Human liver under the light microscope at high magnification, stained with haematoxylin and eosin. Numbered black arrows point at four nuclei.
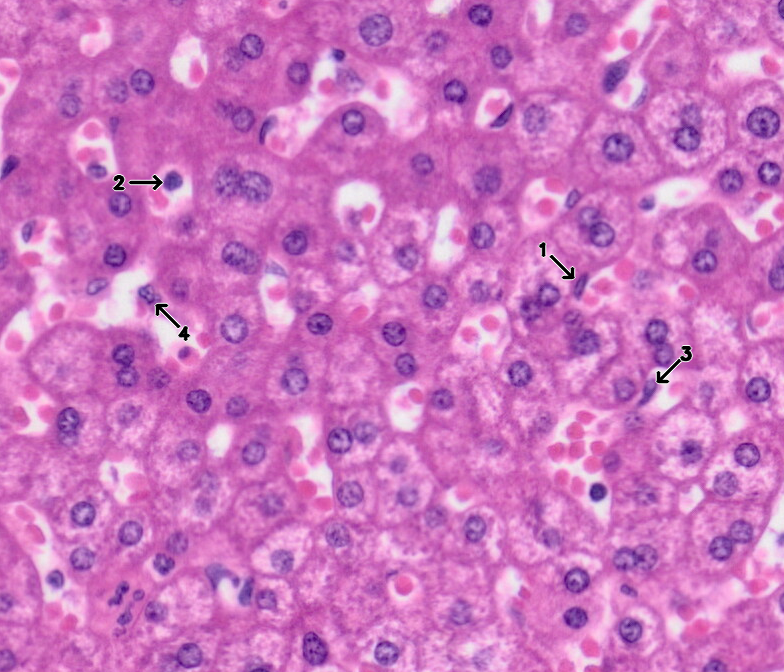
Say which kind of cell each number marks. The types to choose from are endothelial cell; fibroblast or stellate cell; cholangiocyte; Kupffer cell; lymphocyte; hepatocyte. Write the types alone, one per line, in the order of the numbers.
endothelial cell
lymphocyte
Kupffer cell
Kupffer cell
